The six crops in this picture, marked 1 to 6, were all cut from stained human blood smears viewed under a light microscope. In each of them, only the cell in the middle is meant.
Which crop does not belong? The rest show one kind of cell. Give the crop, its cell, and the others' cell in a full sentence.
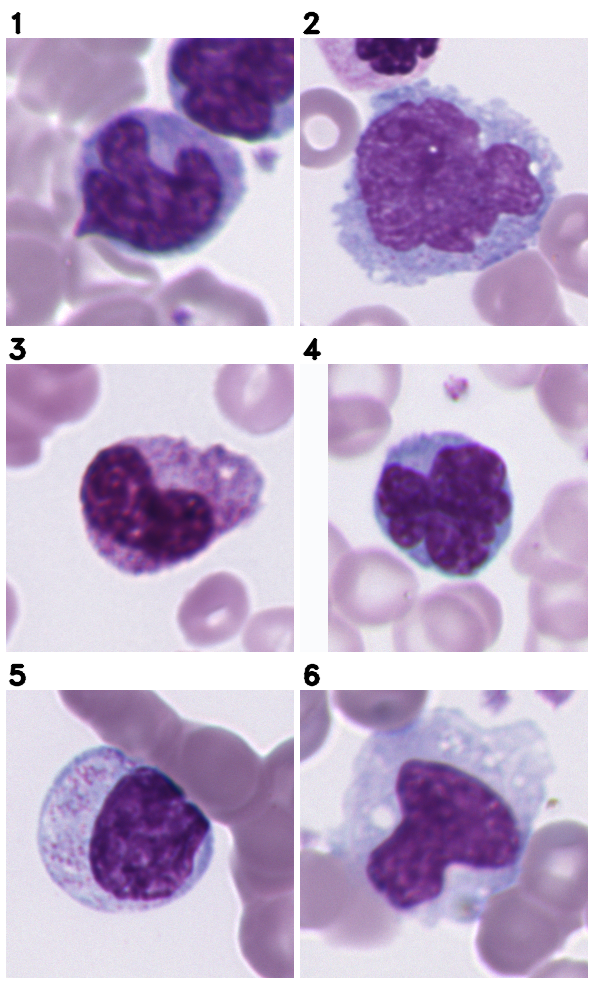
Crop 5 is not like the others: it is a myelocyte, and they are monocytes.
